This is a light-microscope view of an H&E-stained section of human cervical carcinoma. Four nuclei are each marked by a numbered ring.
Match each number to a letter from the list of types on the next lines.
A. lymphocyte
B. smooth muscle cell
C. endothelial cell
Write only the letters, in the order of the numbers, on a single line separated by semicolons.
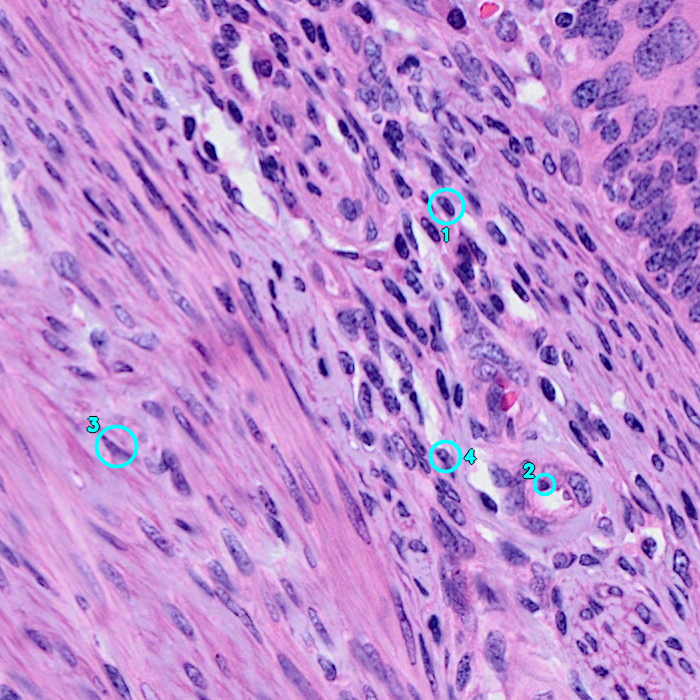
A; C; B; A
